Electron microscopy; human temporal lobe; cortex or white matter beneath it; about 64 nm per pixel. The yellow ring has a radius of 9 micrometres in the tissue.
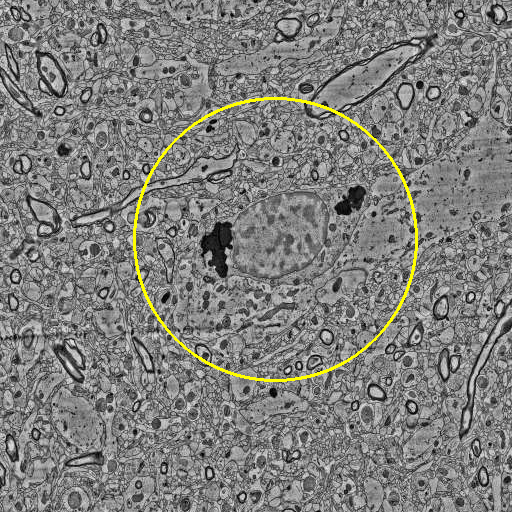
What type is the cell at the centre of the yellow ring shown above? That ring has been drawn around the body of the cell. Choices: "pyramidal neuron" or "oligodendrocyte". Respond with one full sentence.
My answer is that an oligodendrocyte lies at the centre of the yellow ring above.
